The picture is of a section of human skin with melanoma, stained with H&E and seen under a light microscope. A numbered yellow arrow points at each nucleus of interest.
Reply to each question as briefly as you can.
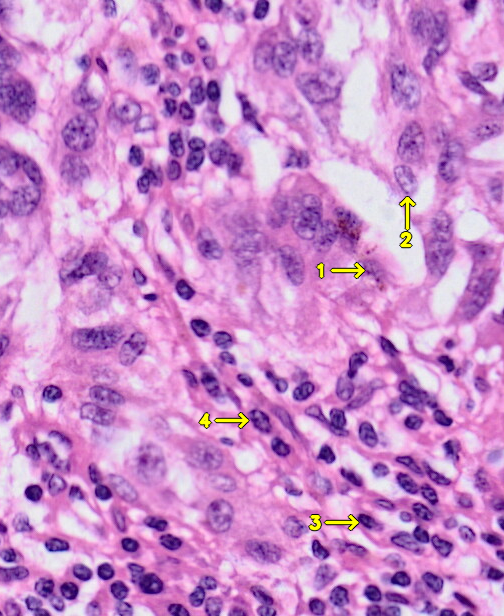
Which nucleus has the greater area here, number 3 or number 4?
4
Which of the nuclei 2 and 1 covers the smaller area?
1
